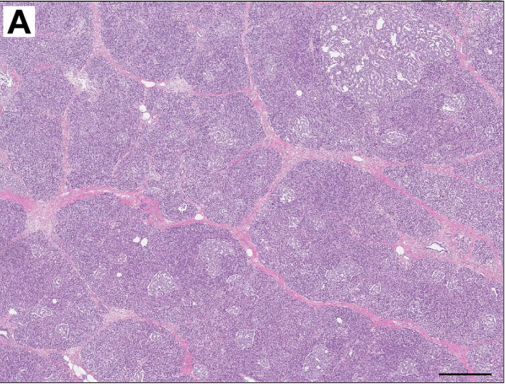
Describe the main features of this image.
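At low magnification this pancreatic tissue, stained with hematoxylin and eosin, is divided into lobules by thin pink fibrous septa. The lobules are filled with densely packed purple glandular tissue. Within them lie many pale, rounded clusters of cells, and in the upper right a larger pale area shows a lacy, cord-like pattern.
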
